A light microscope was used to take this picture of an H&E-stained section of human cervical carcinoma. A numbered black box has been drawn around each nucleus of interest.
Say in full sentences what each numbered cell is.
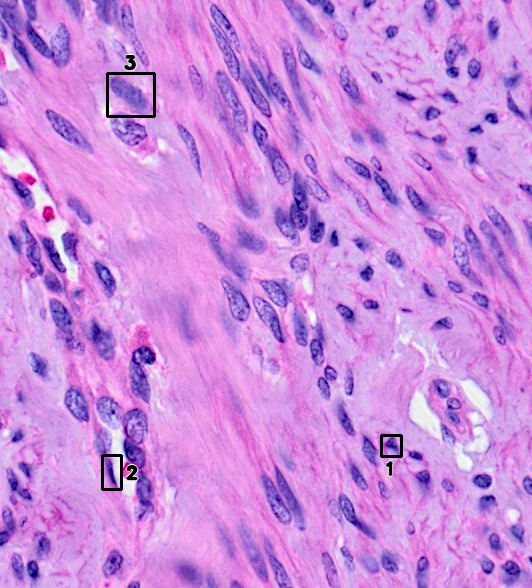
Cell 1 is a smooth muscle cell, cell 2 is an endothelial cell and cell 3 is a fibroblast.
